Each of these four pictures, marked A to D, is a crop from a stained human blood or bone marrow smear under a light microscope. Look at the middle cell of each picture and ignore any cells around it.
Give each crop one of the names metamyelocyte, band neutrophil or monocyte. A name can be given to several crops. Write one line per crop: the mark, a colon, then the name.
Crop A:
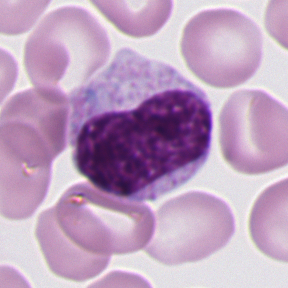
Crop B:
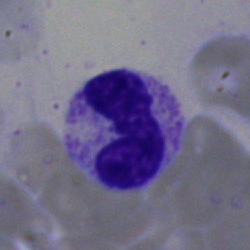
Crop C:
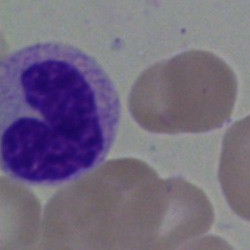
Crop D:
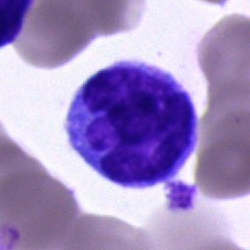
A: band neutrophil
B: band neutrophil
C: metamyelocyte
D: monocyte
